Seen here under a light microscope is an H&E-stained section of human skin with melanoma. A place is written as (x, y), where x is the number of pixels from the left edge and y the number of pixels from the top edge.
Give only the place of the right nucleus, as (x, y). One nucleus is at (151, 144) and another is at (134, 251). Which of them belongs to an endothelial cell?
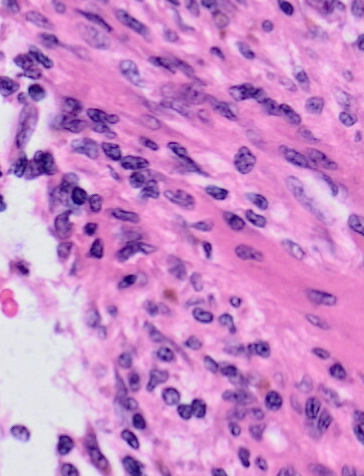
(134, 251)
